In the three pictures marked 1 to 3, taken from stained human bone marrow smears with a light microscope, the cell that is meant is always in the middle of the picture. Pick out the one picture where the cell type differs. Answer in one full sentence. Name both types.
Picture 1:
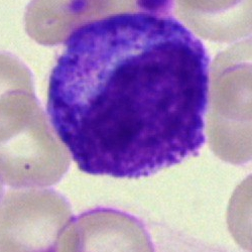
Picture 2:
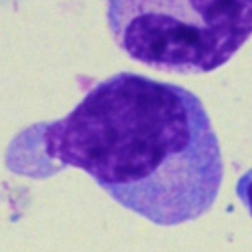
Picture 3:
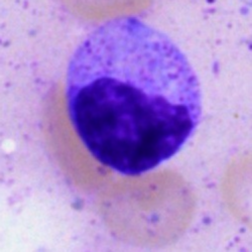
The different one is picture 2; it shows a monocyte, whereas all the others show myelocytes.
